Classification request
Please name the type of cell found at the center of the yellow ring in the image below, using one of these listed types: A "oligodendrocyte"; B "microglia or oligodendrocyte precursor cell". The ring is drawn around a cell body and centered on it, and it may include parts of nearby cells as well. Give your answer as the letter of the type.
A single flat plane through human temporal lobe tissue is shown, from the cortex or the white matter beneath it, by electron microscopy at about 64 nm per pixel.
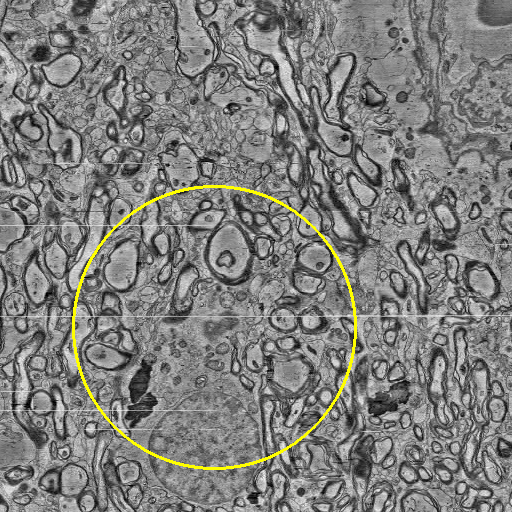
A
